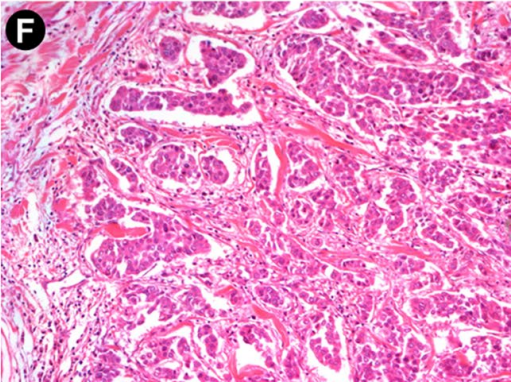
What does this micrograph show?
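Carcinoma cells with abundant pink cytoplasm form cords and nests within a desmoplastic stroma. The nests are rounded or elongated and are separated from the surrounding stroma by clear clefts. The stroma between them consists of bands of pink fibrous tissue with scattered spindle nuclei.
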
